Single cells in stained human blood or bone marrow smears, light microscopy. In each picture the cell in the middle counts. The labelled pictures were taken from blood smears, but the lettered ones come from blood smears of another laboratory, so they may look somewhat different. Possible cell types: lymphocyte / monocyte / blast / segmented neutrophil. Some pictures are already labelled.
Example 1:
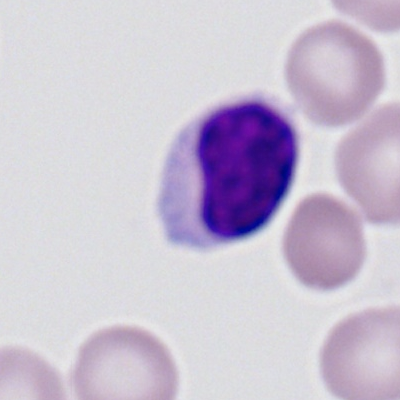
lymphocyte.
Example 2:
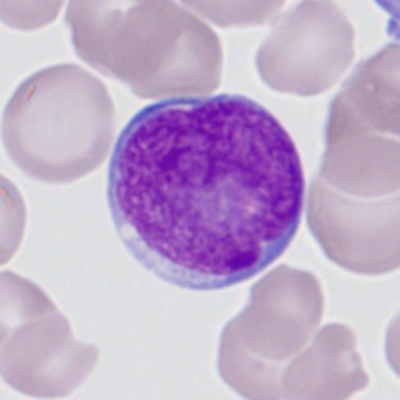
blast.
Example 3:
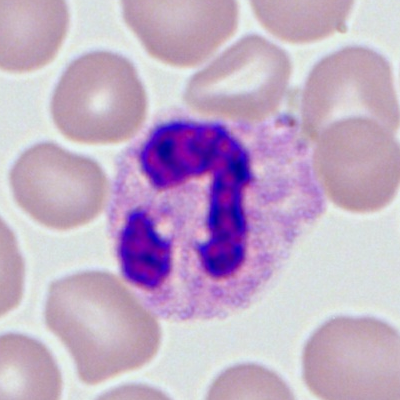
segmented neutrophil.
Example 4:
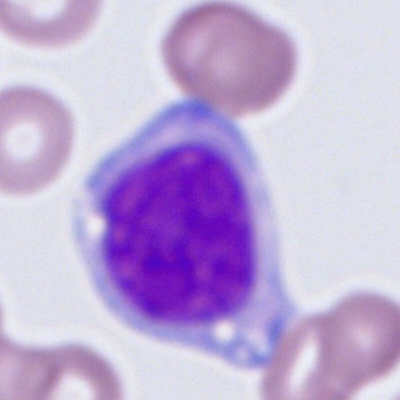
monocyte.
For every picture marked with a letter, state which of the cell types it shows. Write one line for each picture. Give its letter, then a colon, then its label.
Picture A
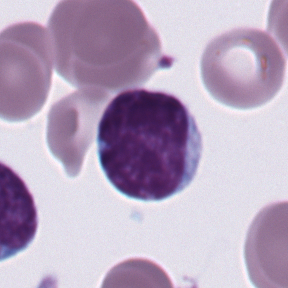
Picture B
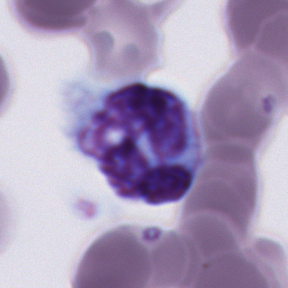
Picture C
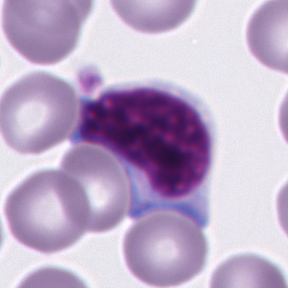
A: lymphocyte.
B: monocyte.
C: lymphocyte.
